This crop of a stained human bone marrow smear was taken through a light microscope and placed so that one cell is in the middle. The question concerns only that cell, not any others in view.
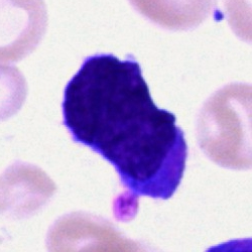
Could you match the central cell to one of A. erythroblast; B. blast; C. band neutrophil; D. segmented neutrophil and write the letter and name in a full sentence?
Option B is correct, naming the cell in the middle as a blast.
